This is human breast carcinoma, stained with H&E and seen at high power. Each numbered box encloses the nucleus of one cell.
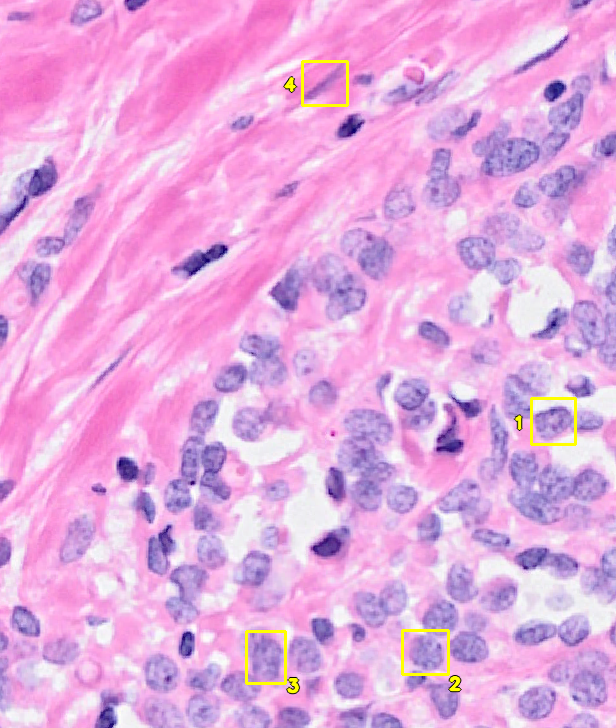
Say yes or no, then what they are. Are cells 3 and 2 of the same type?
Yes, both are carcinoma cells.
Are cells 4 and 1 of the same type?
No, cell 4 is a fibroblast and cell 1 is a carcinoma cell.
